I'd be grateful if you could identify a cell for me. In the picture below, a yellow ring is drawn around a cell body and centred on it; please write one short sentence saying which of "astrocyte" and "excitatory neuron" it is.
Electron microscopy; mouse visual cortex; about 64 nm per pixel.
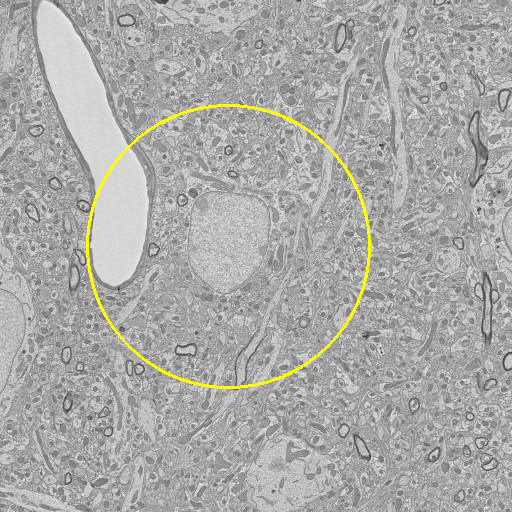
The cell under the ring's centre is an astrocyte.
